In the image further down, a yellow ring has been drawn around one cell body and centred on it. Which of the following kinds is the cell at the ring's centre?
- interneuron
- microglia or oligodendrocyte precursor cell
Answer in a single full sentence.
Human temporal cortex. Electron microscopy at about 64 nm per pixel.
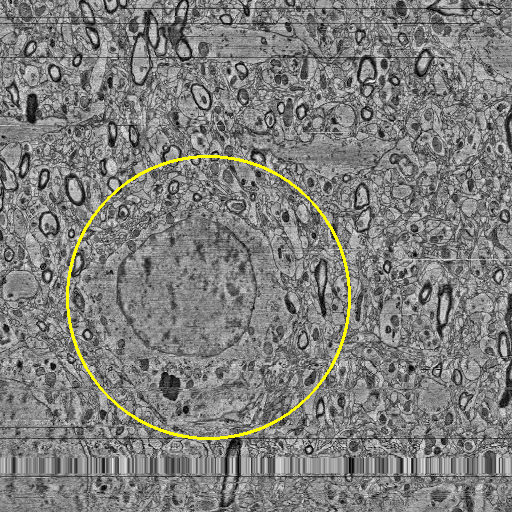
In the picture, the cell sitting at the centre of the yellow ring is an interneuron.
